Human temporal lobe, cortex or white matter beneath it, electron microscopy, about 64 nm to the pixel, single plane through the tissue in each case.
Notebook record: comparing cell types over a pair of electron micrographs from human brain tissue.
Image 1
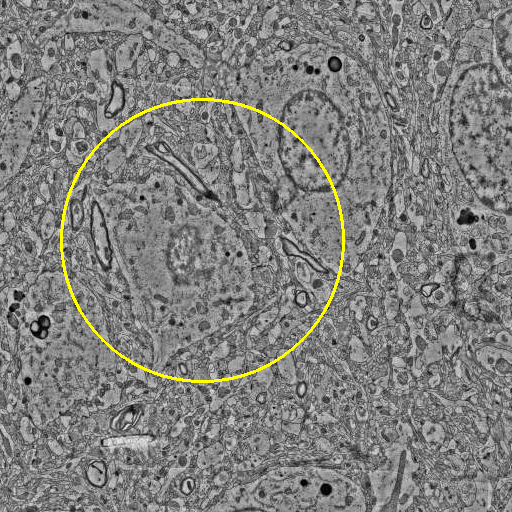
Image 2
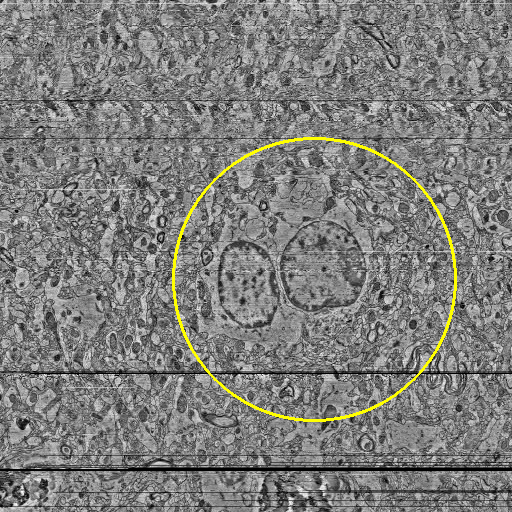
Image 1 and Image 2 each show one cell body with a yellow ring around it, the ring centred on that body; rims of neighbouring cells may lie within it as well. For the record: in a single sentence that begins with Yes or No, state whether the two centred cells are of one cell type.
No, two cell types are found among the centred cells of Image 1 and Image 2.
